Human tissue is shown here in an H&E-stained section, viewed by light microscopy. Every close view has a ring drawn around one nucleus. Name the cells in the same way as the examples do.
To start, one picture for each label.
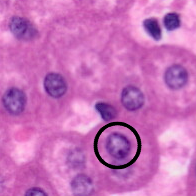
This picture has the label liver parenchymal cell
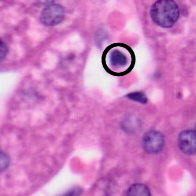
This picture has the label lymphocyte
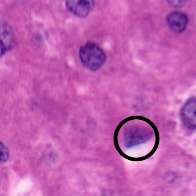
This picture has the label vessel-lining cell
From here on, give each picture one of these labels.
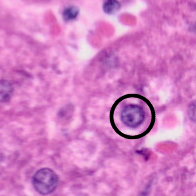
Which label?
liver parenchymal cell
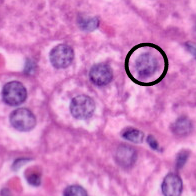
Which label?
liver parenchymal cell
